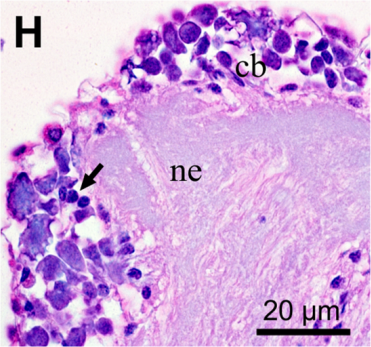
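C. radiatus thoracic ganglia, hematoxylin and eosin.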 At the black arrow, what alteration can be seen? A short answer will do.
Pyknotic nucleus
